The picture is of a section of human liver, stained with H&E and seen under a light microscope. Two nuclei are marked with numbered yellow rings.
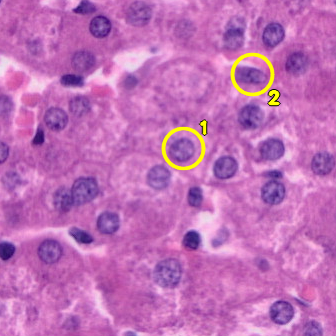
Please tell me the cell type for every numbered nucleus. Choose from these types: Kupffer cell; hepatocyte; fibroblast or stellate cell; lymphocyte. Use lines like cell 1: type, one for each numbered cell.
cell 1: hepatocyte
cell 2: Kupffer cell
